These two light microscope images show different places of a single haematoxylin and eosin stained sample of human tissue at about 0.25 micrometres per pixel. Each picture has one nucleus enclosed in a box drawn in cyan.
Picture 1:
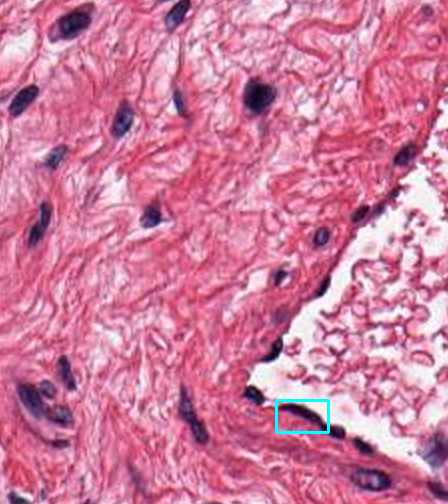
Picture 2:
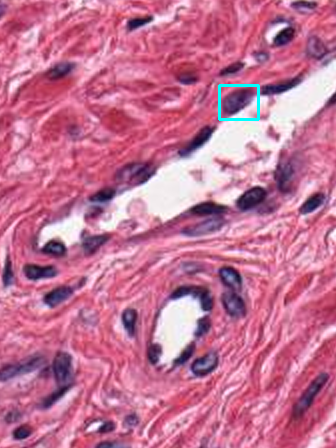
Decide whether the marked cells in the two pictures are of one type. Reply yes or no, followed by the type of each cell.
Yes, both are endothelial cells.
